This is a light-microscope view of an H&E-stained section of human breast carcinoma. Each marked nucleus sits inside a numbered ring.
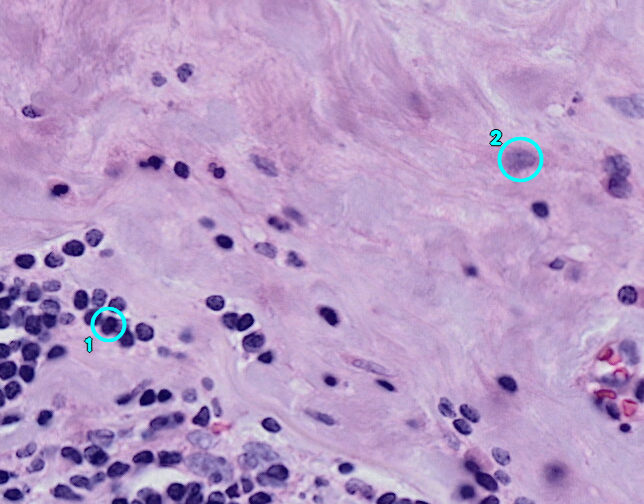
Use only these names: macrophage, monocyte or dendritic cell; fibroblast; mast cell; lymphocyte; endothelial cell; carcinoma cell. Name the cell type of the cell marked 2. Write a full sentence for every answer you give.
Heads up, the cell numbered 2 is a fibroblast.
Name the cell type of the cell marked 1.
Number 1 among the marked cells is a lymphocyte.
